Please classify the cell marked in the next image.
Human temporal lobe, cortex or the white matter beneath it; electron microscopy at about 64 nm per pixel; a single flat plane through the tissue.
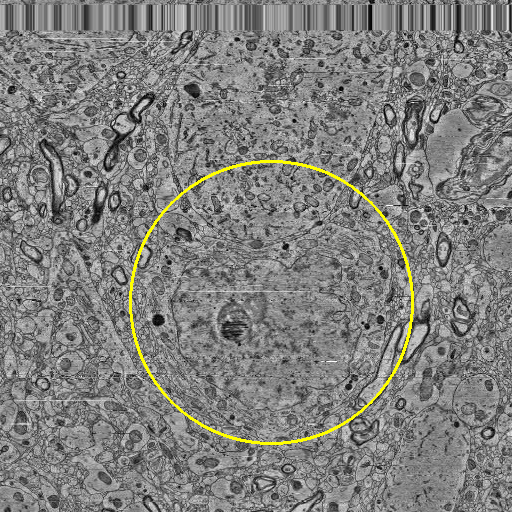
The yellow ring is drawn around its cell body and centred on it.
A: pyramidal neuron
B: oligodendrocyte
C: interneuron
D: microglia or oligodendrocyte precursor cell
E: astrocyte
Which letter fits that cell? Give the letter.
C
